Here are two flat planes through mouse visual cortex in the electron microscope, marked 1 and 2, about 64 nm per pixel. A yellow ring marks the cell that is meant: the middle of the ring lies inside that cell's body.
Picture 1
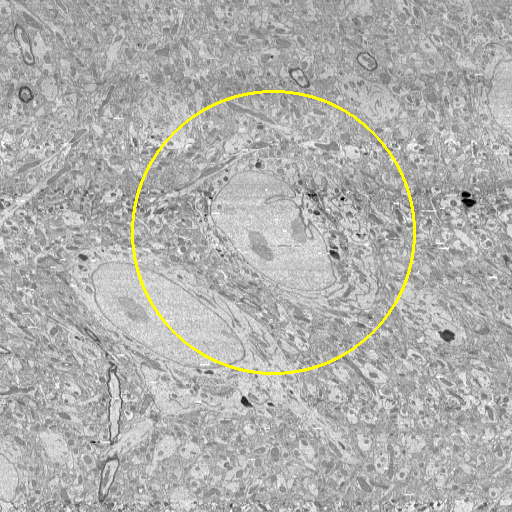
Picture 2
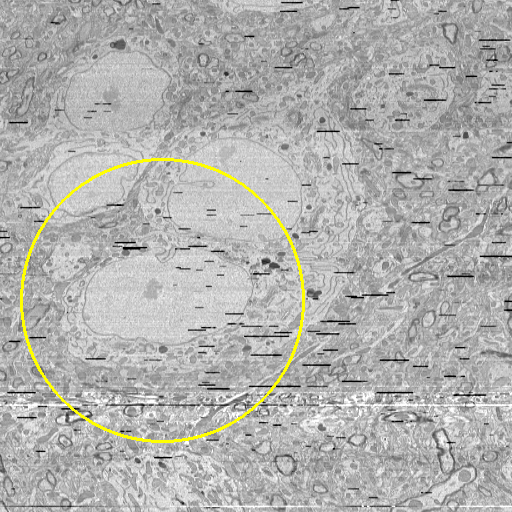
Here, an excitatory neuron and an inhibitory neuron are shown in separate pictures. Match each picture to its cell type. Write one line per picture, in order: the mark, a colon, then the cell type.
1: inhibitory neuron
2: excitatory neuron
